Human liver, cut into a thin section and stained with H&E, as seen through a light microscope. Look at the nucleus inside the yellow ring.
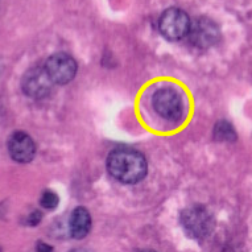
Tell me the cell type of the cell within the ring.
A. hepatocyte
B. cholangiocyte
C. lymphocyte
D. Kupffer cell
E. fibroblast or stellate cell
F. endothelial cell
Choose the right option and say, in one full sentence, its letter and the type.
Option A matches the cell within the ring, which is a hepatocyte.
